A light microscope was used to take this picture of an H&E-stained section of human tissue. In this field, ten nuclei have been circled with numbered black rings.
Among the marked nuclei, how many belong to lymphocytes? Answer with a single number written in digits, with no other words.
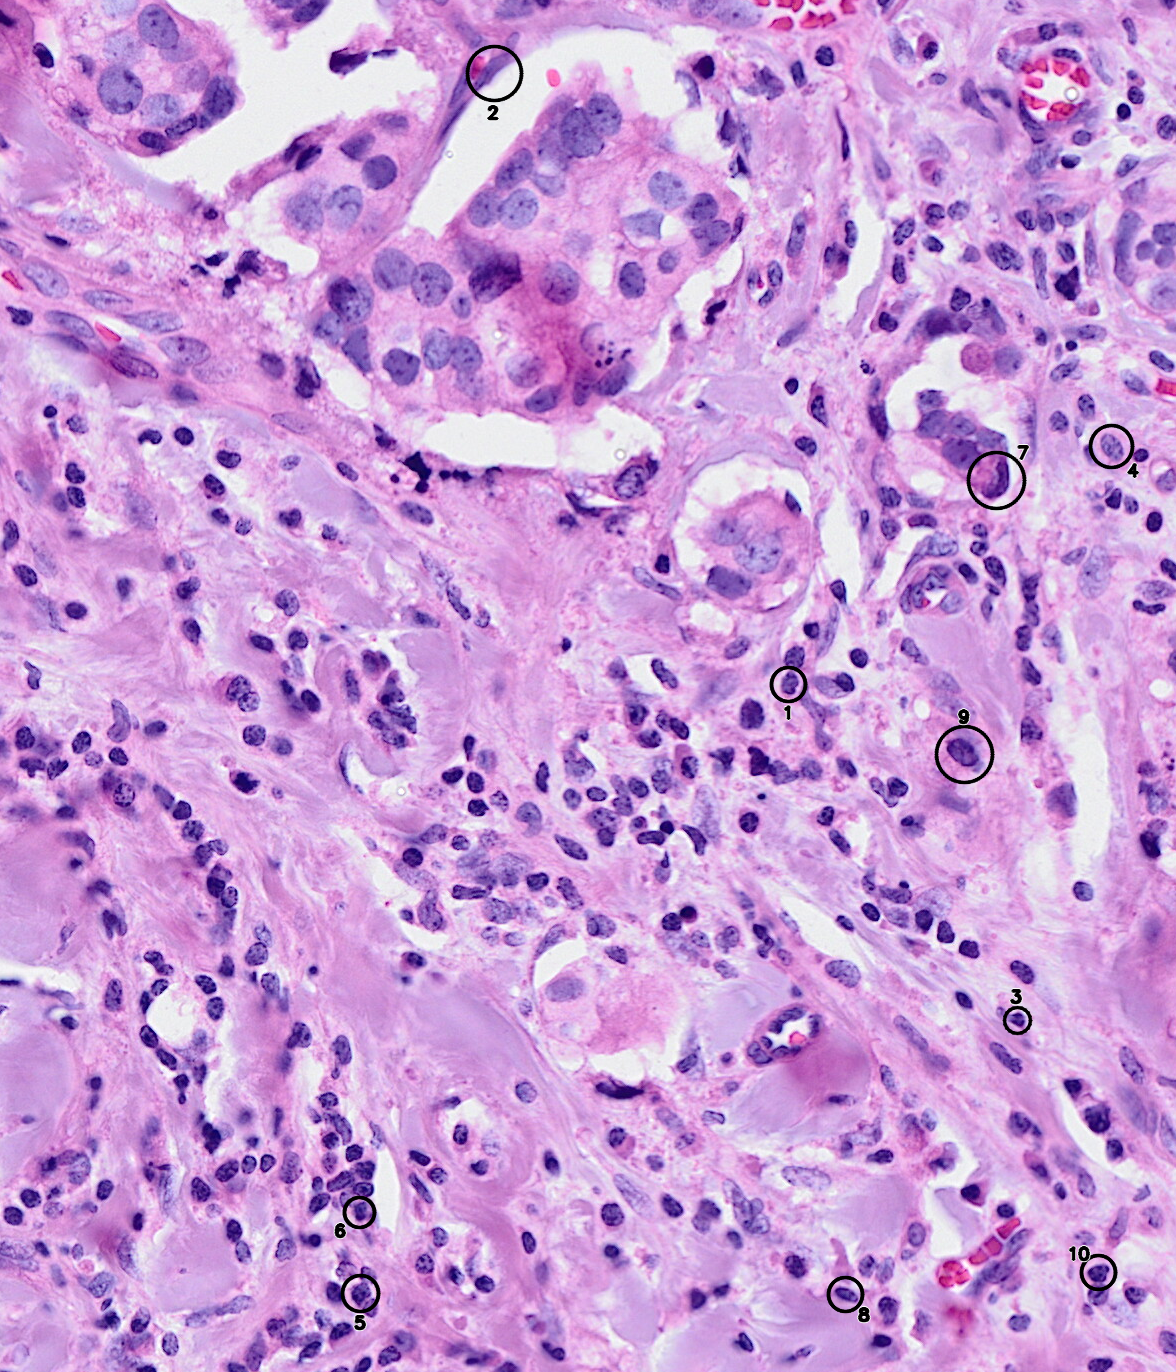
6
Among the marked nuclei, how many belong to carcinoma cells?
2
